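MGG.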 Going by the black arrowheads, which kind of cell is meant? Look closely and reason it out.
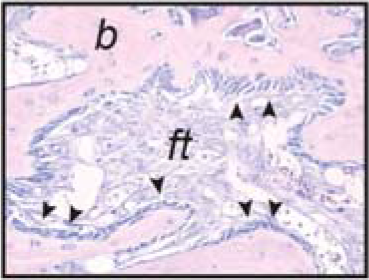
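Arrowheads point to blue-stained cells at the border between pink bone and the bluish stroma. The marked cells line the bone surface. That points to this answer: osteoblasts.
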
